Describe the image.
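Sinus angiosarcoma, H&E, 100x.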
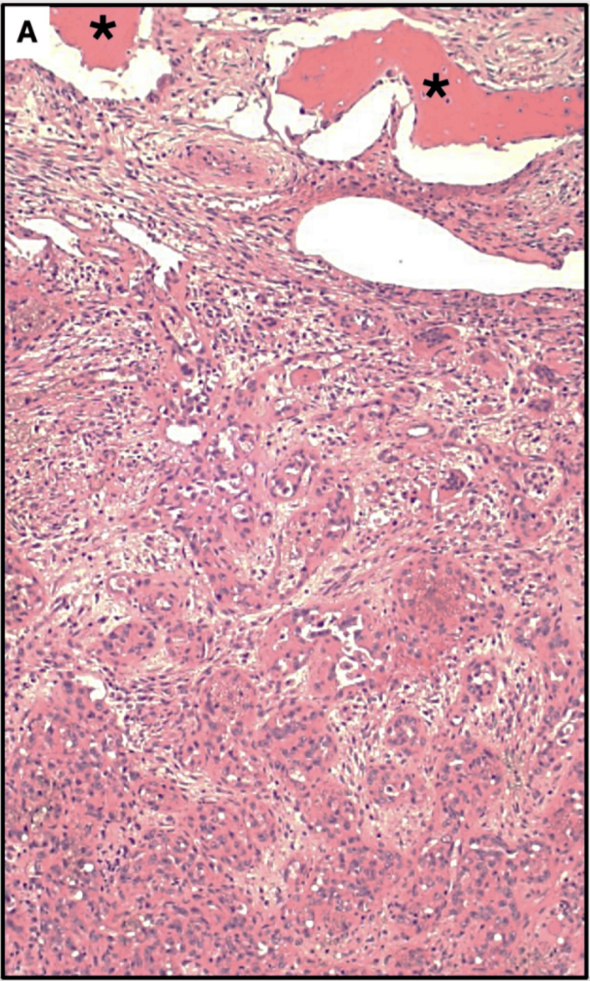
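The tumor forms nests and sheets of large cells with pink cytoplasm, set among small slit-like and irregular vascular spaces, some containing red blood cells. The tumor extends up through the fibrous tissue toward the bone.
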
